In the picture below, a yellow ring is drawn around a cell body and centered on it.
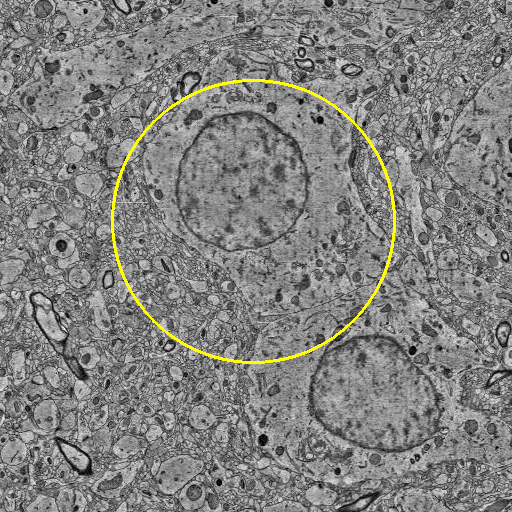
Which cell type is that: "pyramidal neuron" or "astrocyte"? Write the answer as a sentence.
The cell centered in the ring is a pyramidal neuron.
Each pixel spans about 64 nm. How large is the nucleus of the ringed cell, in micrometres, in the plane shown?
About 9 micrometres across in this plane.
